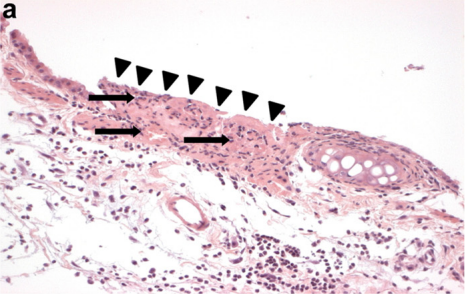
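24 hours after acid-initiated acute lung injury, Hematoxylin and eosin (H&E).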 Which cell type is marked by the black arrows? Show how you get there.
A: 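The arrows point into the wall beneath the surface lining. Small dark round nuclei are scattered through the tissue there and below.
Conclusion: inflammatory cells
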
